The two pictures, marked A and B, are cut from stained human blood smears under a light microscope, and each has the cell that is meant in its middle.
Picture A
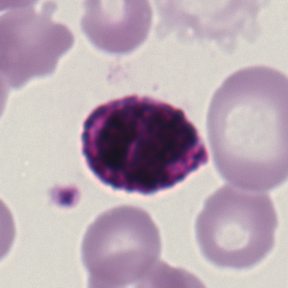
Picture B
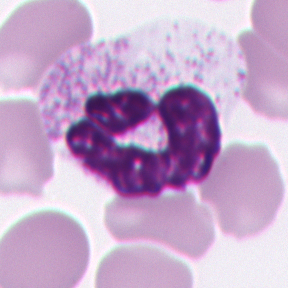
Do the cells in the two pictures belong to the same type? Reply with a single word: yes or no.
no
